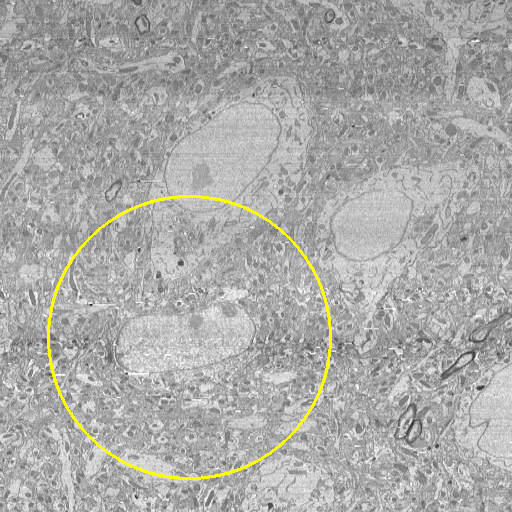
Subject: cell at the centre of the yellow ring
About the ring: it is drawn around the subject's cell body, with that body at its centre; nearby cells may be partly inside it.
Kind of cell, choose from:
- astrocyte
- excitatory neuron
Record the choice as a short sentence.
The subject cell is an astrocyte.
